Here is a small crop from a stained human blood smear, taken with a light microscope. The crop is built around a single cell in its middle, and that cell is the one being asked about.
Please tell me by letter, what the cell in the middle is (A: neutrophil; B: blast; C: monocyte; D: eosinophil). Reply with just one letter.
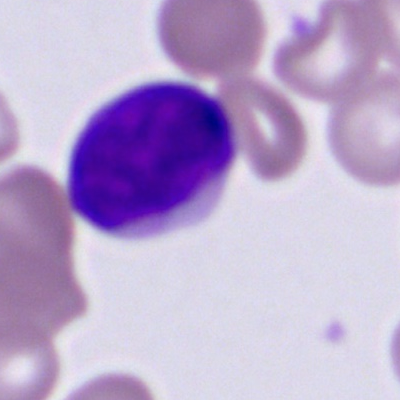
B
